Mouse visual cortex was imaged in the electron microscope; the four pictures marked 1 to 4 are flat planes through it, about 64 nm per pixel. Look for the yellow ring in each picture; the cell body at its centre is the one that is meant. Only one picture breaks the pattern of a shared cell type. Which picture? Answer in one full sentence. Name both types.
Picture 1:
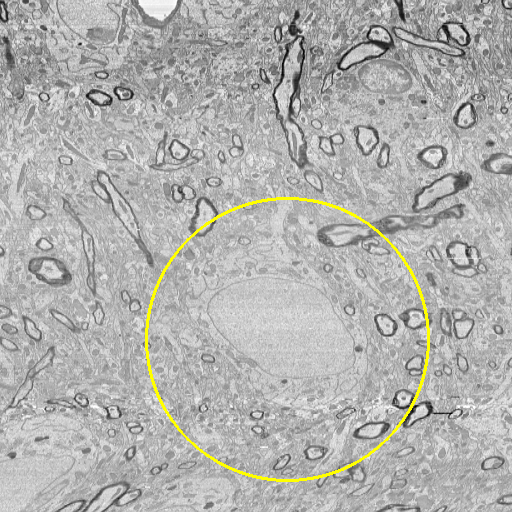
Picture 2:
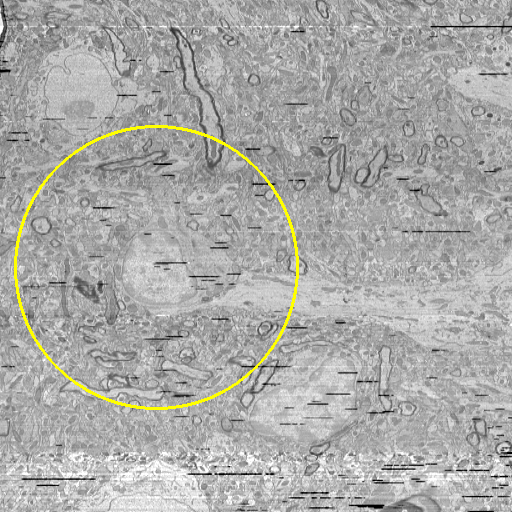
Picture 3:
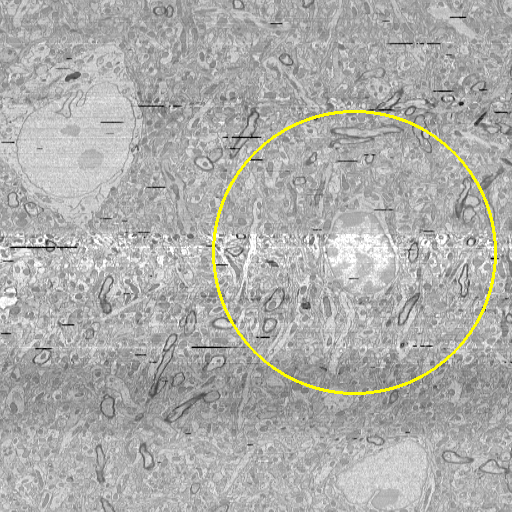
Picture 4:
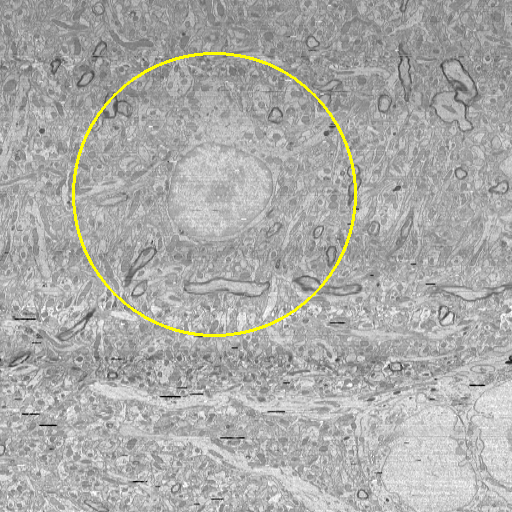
Picture 1 differs, because its cell is an excitatory neuron and the rest are oligodendrocytes.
